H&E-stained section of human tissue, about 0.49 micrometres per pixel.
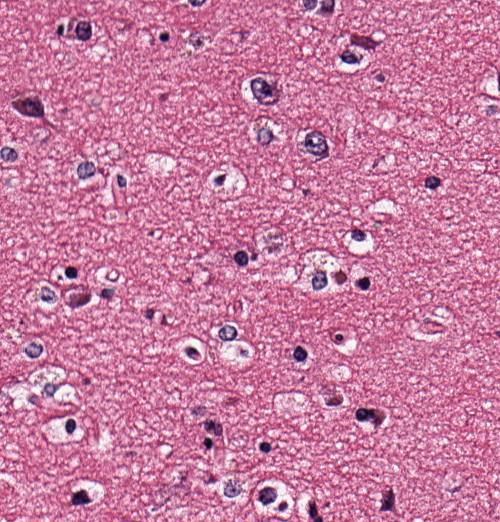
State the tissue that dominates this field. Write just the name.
cerebral cortex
